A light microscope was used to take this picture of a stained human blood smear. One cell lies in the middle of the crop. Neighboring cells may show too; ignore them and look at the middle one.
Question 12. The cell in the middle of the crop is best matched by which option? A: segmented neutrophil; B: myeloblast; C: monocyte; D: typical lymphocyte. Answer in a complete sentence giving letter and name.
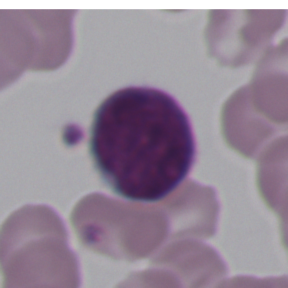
What sits in the middle of the crop is a typical lymphocyte, and option D is correct.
